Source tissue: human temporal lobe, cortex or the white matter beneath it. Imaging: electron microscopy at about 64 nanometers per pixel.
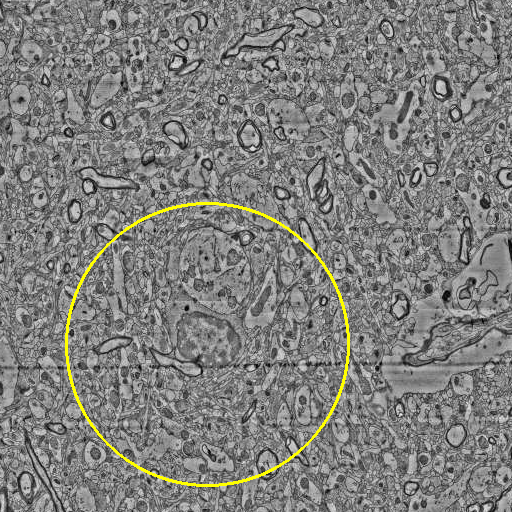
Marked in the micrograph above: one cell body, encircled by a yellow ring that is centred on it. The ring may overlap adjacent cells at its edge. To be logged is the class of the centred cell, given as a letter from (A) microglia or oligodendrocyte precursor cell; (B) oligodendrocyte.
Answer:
B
